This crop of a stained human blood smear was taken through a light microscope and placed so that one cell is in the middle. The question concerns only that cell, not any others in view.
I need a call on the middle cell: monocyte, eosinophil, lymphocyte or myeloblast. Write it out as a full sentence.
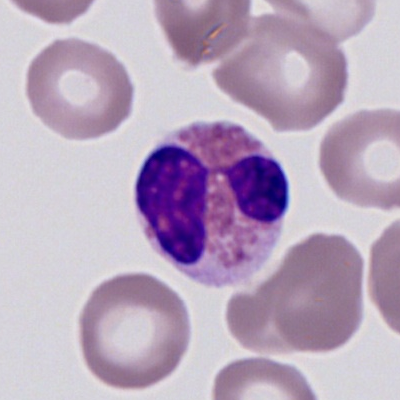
The crop's centre is taken up by an eosinophil.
